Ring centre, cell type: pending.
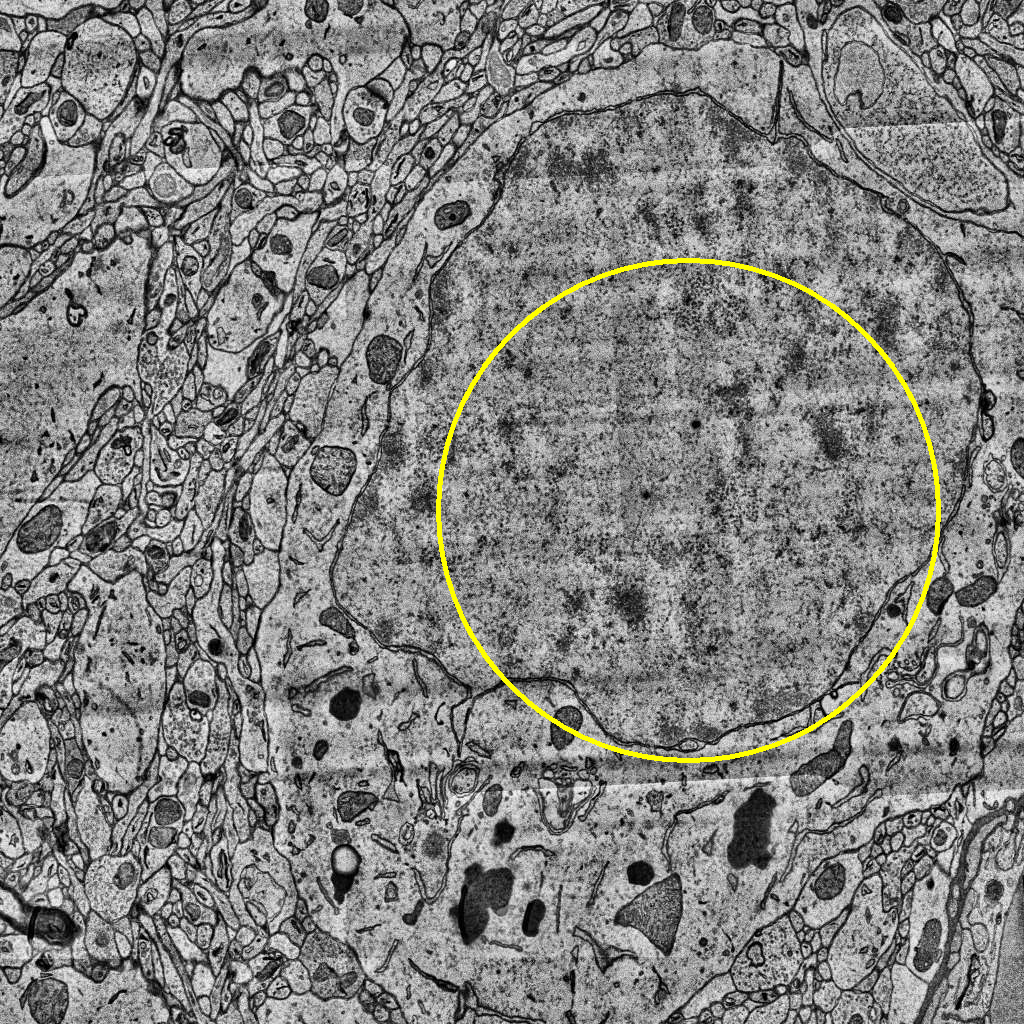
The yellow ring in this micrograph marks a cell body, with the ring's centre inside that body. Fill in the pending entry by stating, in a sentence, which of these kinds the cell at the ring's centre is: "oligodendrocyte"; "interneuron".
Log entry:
The cell at the ring's centre is recorded as an interneuron.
